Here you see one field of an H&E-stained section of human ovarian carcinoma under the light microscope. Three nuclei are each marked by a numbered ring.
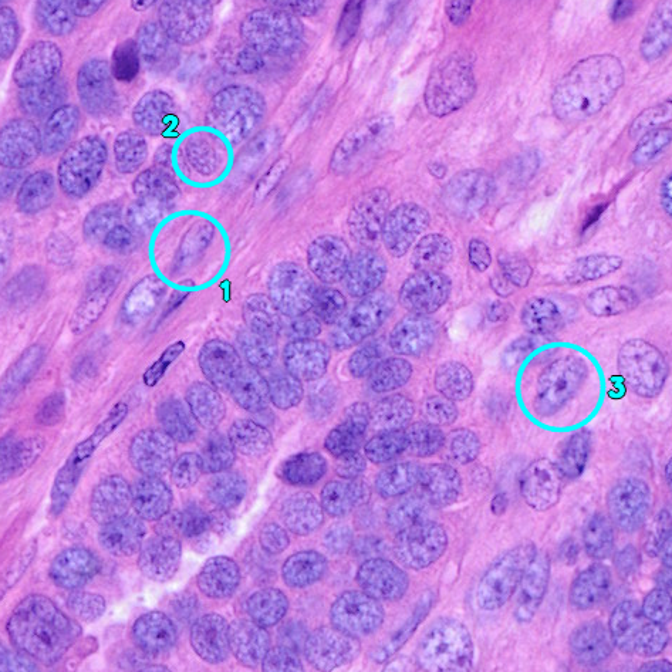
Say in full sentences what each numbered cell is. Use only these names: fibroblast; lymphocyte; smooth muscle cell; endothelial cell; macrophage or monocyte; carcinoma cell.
Cells 1 and 3 are fibroblasts. Cell 2 is a carcinoma cell.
